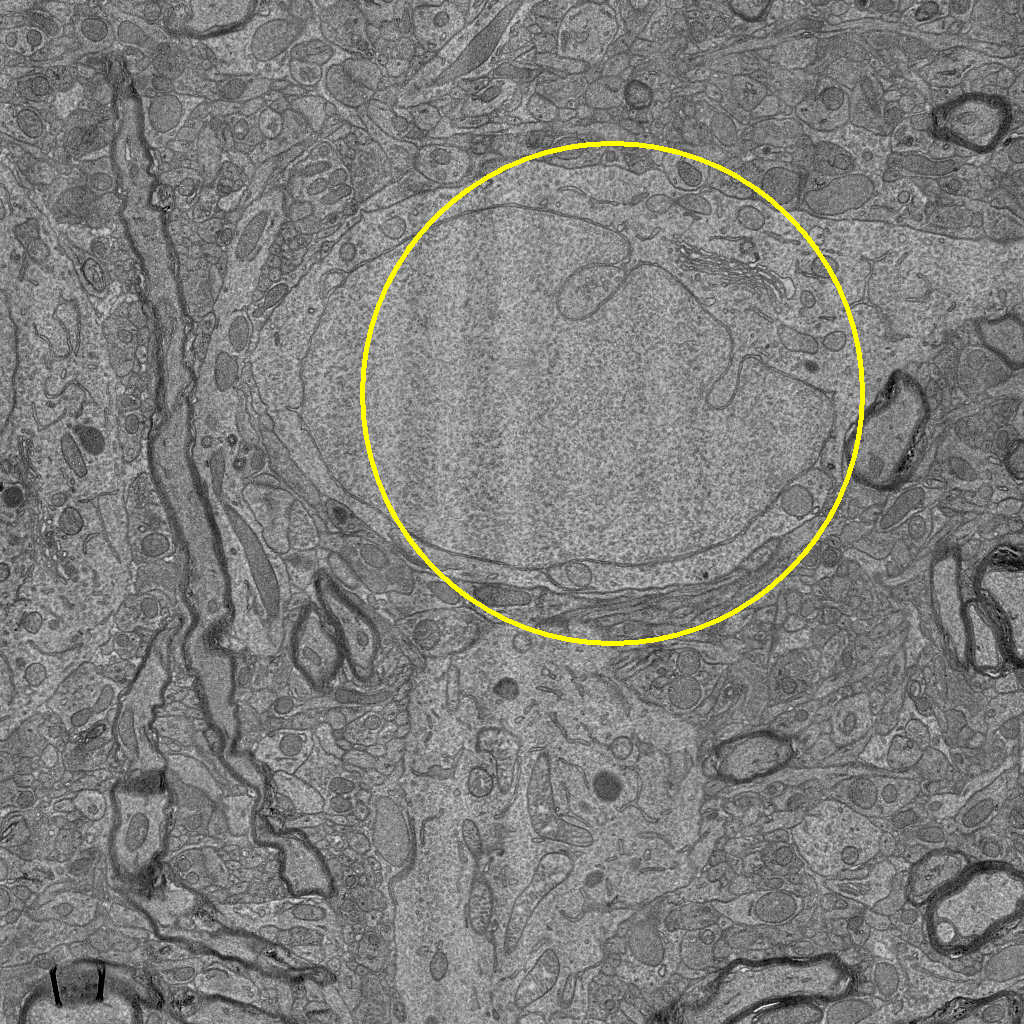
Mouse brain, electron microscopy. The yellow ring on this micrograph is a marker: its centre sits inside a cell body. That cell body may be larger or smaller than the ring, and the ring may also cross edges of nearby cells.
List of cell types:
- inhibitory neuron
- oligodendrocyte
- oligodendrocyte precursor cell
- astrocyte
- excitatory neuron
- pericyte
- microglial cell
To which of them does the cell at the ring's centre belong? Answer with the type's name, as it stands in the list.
inhibitory neuron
